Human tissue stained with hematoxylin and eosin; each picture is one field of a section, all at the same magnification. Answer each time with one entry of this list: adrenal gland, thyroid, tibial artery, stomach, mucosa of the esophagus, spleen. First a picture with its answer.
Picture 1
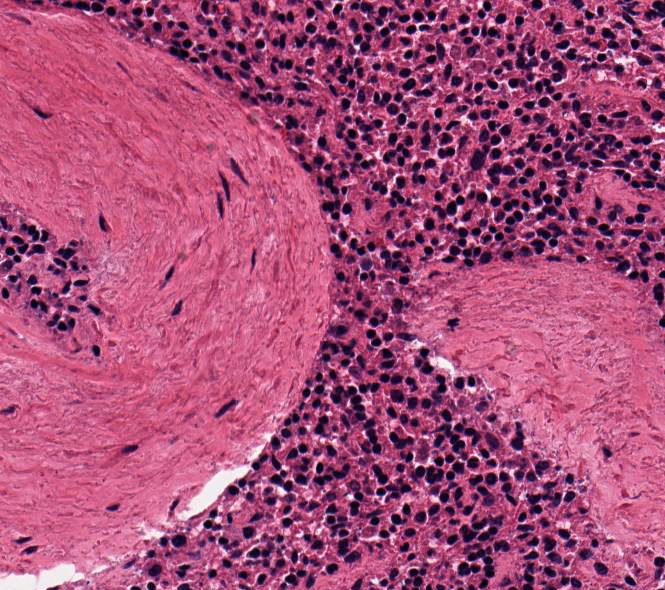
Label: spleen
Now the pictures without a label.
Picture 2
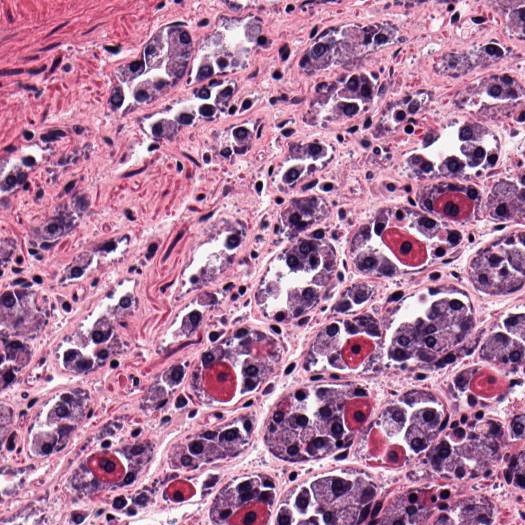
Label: stomach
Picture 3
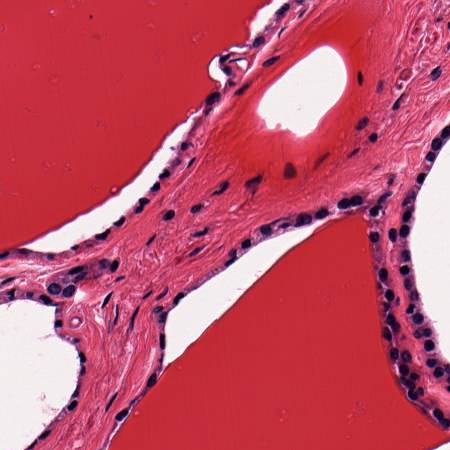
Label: thyroid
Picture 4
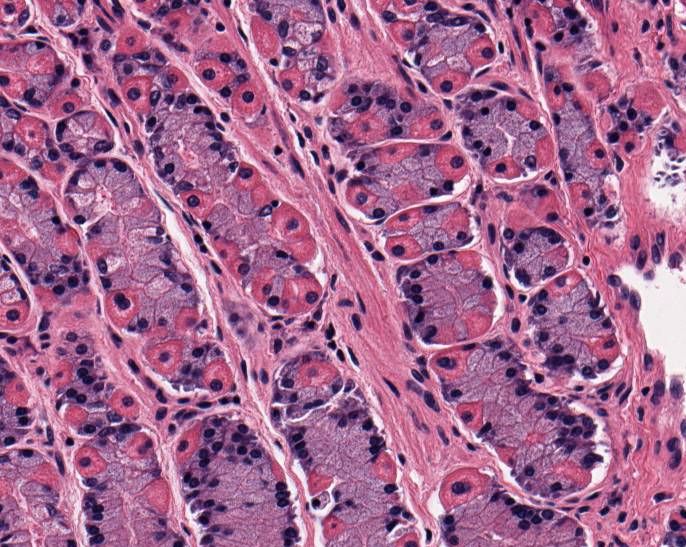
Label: stomach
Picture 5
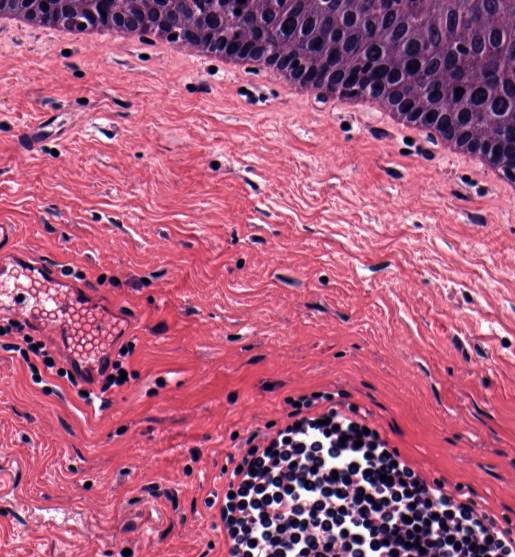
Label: mucosa of the esophagus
